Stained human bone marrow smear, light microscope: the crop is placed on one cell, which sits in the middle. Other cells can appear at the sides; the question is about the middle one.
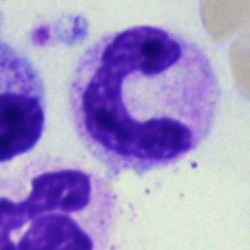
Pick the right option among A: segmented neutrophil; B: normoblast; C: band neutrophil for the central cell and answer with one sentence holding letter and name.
Identified correctly by option C, the cell in the middle is a band neutrophil.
